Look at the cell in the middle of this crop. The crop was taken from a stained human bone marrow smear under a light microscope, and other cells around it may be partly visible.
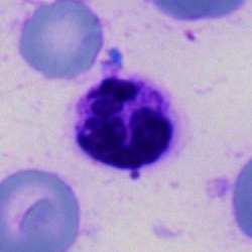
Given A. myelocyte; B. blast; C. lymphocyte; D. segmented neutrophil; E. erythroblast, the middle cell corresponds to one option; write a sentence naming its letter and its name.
In the centre of the crop there is a segmented neutrophil, making option D correct.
